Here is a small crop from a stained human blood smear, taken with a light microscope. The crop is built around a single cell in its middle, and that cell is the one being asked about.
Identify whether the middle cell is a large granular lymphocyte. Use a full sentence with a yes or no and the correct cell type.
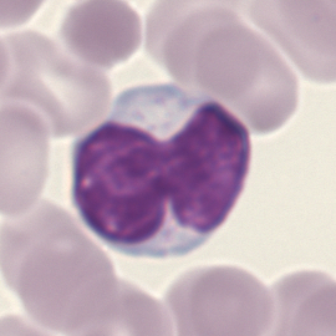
Yes, the cell found at the centre of the crop is a large granular lymphocyte.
